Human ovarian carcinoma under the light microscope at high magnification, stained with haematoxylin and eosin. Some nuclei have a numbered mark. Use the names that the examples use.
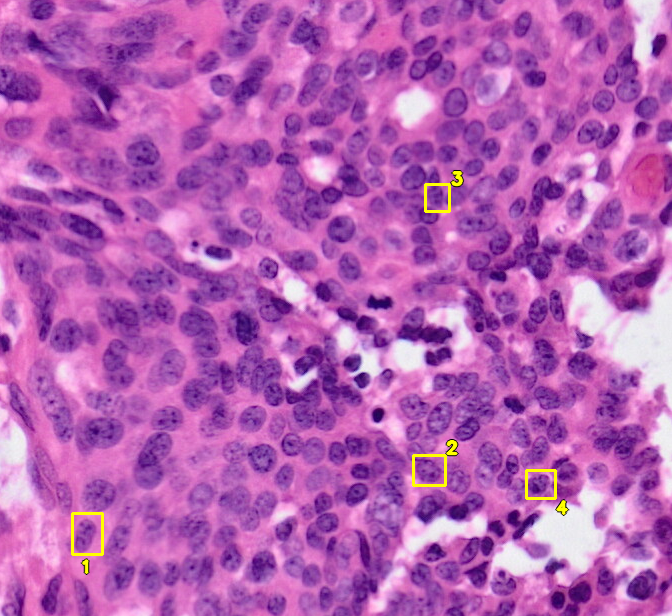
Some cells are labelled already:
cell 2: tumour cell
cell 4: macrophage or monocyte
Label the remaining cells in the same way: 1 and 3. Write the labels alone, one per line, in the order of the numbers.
macrophage or monocyte
tumour cell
